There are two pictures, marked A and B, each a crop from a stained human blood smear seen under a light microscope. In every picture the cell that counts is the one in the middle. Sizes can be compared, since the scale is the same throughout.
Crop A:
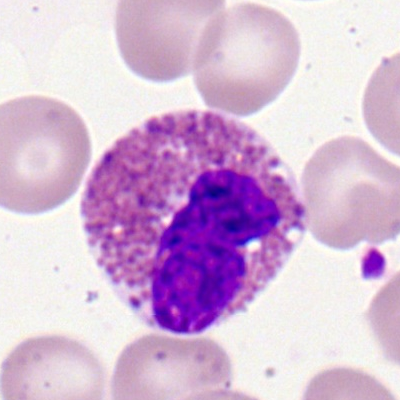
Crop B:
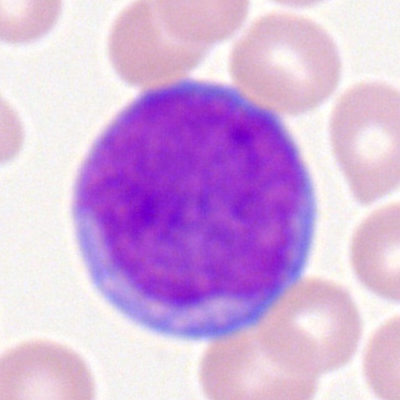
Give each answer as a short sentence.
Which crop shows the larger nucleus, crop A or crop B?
It is the nucleus in crop B, about 3 times as large in area as the one in crop A.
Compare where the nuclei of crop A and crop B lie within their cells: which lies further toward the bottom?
The nucleus in crop A lies further toward the bottom of its cell.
